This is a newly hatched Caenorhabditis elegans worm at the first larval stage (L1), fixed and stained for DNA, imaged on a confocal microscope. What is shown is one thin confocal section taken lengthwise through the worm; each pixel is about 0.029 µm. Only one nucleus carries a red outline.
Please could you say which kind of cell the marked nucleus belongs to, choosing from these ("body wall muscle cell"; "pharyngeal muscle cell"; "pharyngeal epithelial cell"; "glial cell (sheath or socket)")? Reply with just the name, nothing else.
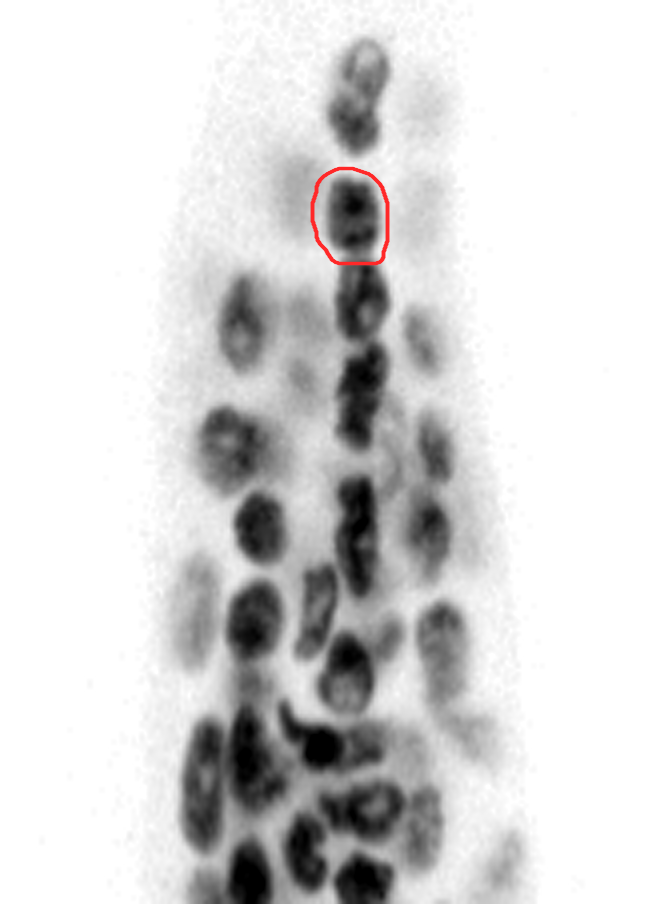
pharyngeal muscle cell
